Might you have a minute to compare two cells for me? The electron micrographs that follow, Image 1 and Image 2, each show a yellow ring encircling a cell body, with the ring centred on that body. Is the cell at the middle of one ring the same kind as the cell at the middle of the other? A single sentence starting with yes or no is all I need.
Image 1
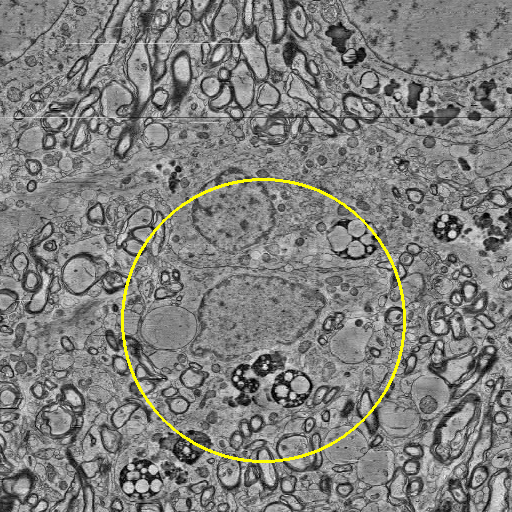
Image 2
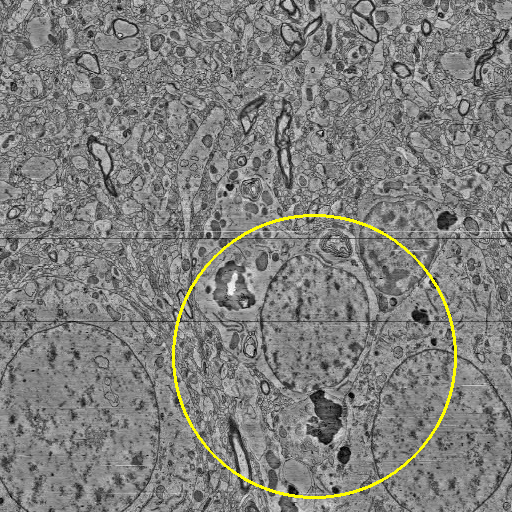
Yes, the cells in the middle of the two rings are of one shared kind.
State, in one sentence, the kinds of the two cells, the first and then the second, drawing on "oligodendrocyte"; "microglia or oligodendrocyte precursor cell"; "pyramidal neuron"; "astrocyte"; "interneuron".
In both pictures the ring is centred on an astrocyte.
